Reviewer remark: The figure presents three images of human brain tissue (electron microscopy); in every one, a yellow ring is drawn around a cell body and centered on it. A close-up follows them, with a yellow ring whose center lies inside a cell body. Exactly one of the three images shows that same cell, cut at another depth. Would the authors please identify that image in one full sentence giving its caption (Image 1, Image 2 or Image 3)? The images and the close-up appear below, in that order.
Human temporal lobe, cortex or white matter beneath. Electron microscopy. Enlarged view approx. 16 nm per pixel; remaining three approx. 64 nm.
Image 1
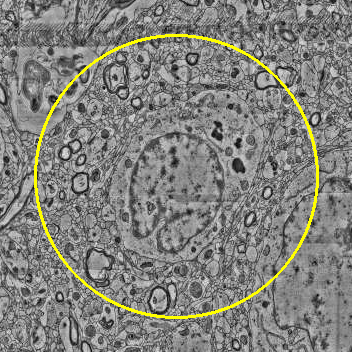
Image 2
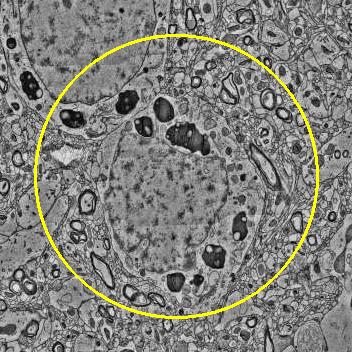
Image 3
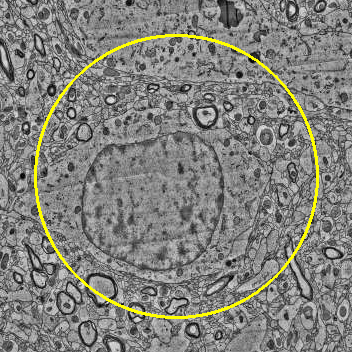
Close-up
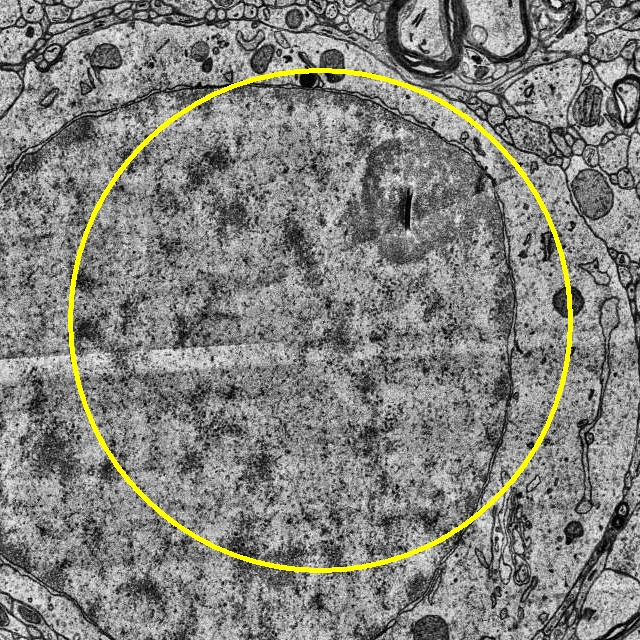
The close-up pictures the cell encircled in Image 3.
